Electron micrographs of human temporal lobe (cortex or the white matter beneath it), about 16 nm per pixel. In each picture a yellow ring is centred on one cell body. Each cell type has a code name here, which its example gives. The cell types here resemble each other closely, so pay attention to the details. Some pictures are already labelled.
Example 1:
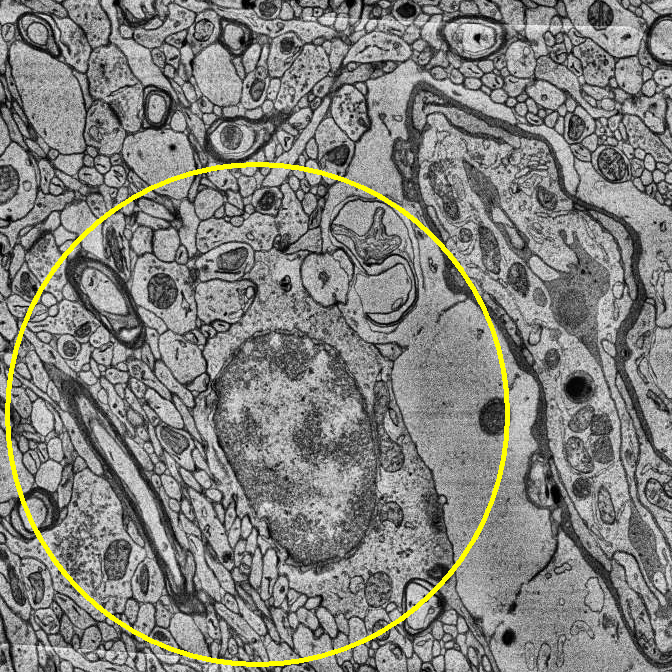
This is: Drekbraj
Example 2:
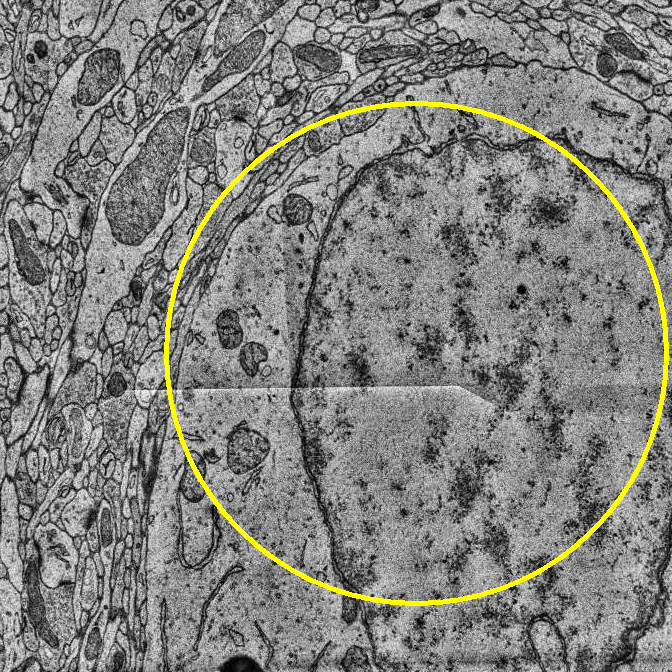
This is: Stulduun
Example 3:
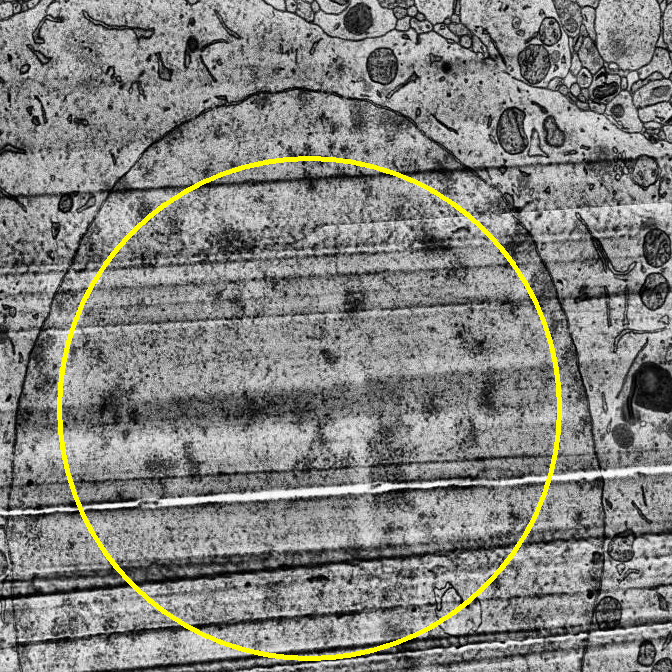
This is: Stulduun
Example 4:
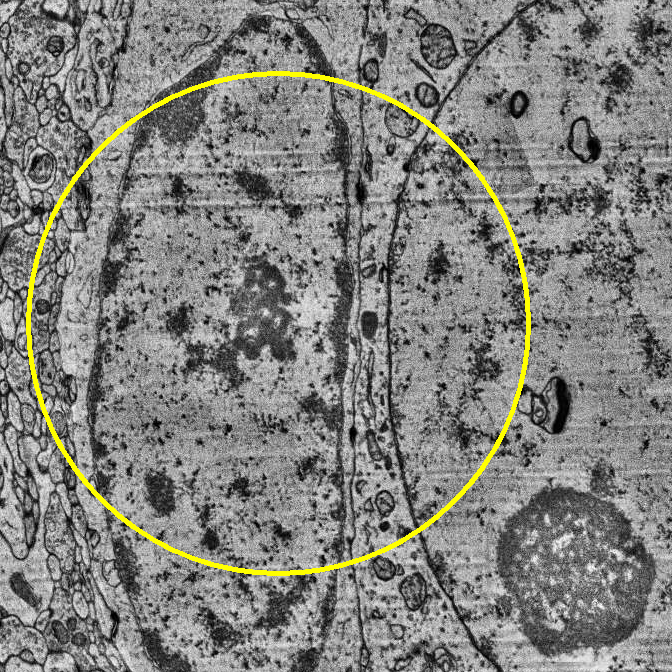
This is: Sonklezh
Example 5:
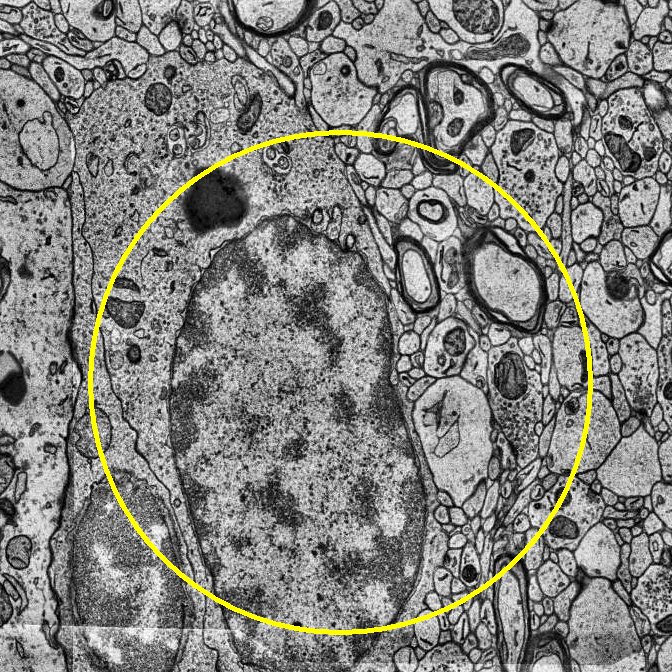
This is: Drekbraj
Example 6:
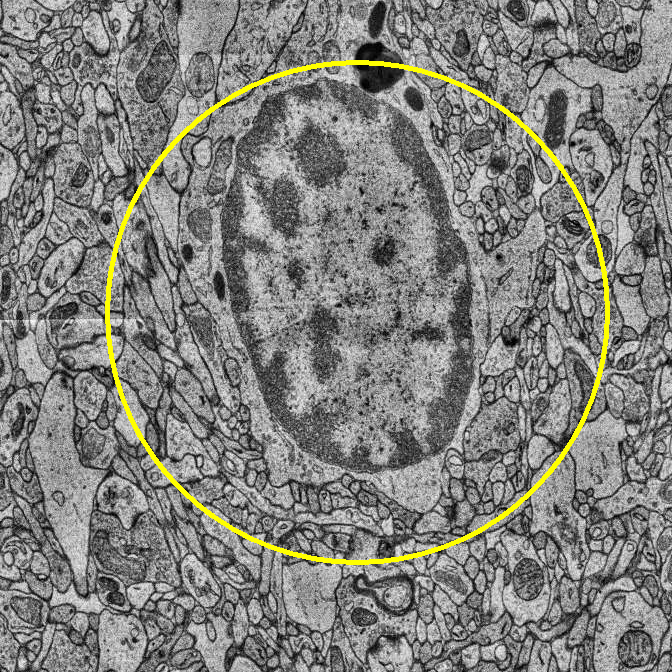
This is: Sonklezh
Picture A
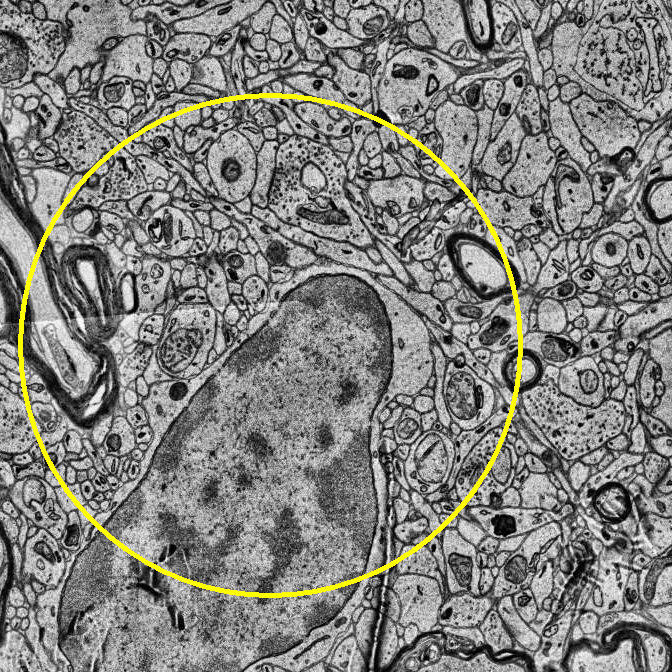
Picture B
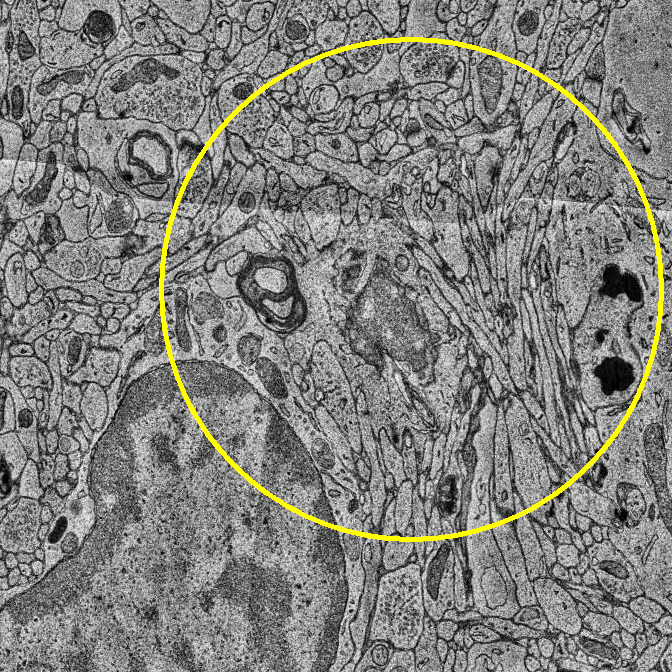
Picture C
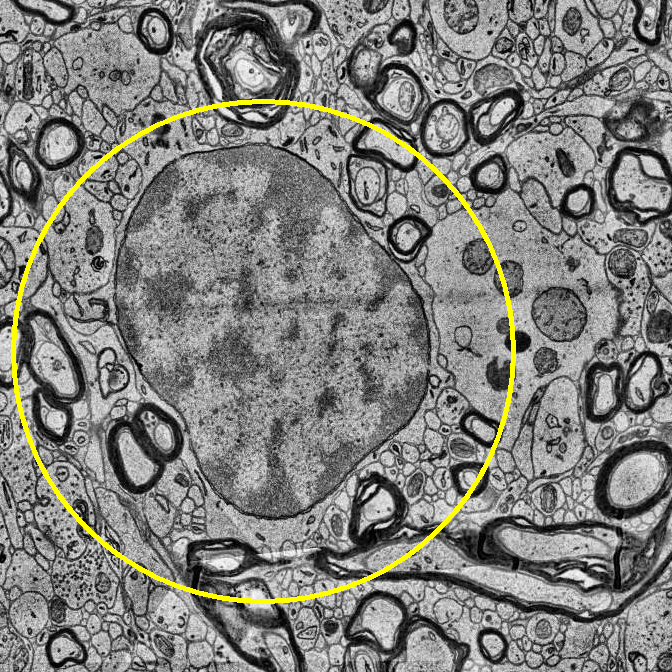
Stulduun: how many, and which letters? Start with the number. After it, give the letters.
0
